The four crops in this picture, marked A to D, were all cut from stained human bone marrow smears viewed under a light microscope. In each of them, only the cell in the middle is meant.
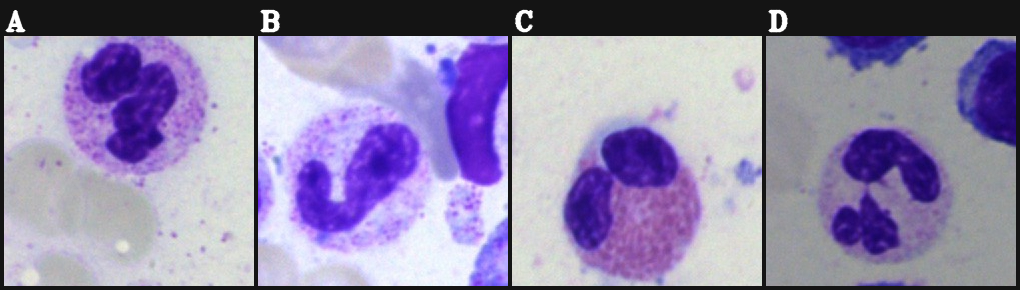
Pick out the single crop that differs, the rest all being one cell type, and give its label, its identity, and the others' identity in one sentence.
The different one is crop C, which is an eosinophil; the rest all show segmented neutrophils.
